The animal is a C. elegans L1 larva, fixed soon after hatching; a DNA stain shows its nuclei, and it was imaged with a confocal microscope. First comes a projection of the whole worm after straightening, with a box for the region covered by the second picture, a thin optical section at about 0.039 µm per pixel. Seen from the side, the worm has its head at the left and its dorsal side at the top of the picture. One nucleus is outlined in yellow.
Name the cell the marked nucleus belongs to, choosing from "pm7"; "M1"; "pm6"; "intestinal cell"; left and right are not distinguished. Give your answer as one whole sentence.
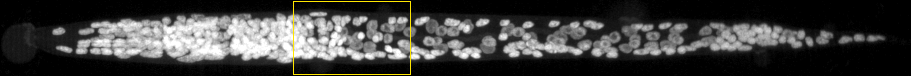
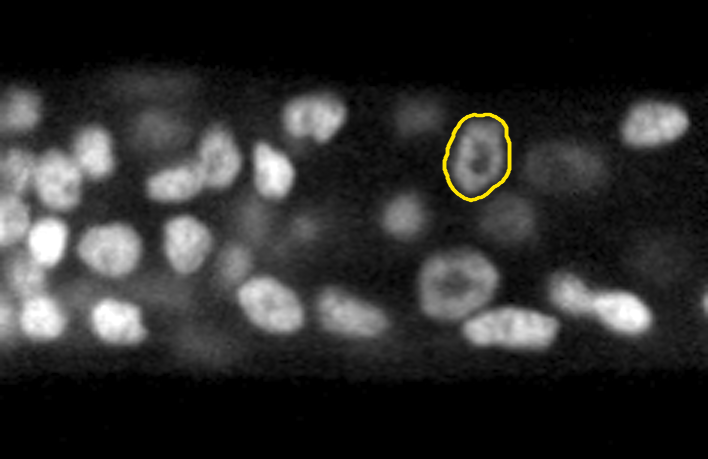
The marked nucleus is that of an intestinal cell.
